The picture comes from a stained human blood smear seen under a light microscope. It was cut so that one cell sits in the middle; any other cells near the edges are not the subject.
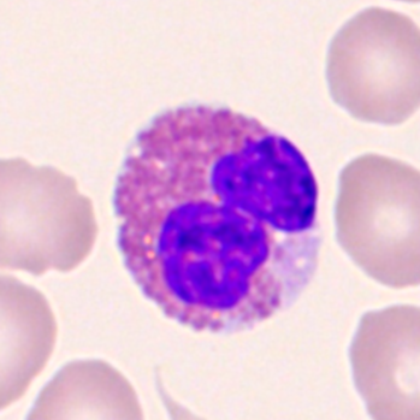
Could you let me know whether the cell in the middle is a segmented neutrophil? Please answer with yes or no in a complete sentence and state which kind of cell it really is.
No, the centre of the crop is taken up by an eosinophil, not a segmented neutrophil.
